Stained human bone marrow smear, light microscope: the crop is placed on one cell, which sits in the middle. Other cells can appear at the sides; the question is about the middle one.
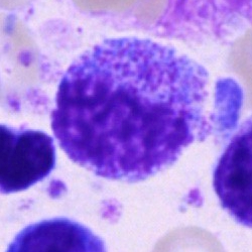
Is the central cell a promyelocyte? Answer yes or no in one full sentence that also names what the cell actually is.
Yes, the cell that occupies the centre is a promyelocyte.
